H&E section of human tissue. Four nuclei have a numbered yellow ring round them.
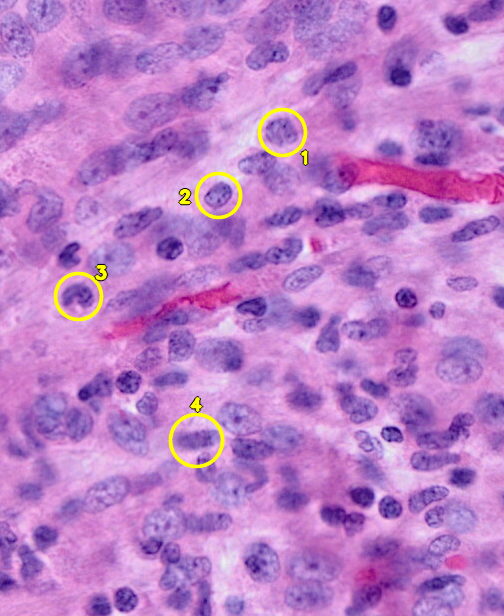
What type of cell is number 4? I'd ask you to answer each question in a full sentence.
The correct answer for cell 4 is a macrophage or monocyte.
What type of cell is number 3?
The label 3 in this section denotes a lymphocyte.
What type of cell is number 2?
Cell 2, as marked in the section, is a macrophage or monocyte.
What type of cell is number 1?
The nucleus labelled 1 belongs to a macrophage or monocyte.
